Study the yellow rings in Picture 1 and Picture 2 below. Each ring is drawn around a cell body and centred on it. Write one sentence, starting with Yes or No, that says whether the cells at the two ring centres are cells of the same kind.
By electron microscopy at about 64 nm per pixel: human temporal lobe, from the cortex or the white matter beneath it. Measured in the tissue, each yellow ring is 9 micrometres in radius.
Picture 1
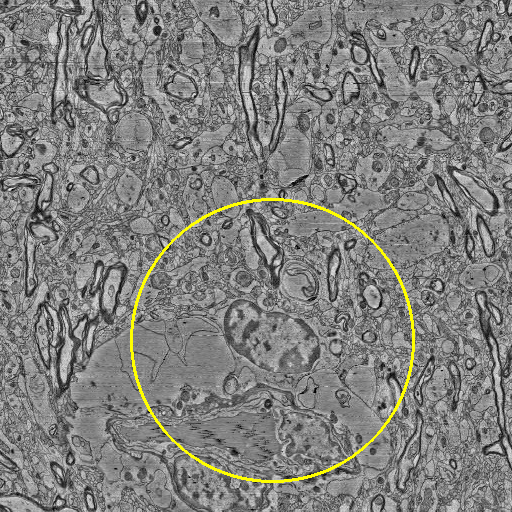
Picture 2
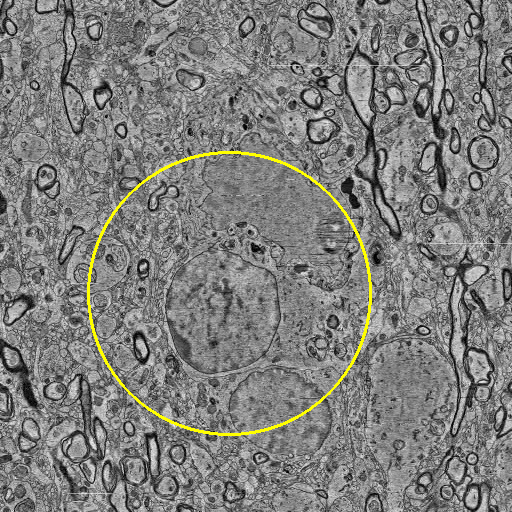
Yes, the cells at both ring centres are of the same kind.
